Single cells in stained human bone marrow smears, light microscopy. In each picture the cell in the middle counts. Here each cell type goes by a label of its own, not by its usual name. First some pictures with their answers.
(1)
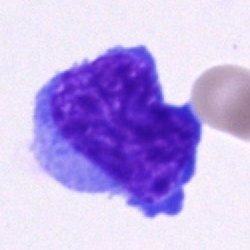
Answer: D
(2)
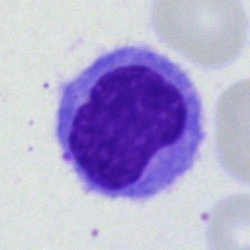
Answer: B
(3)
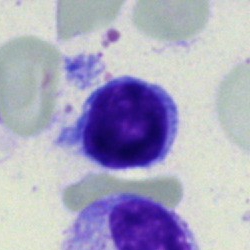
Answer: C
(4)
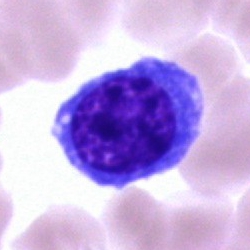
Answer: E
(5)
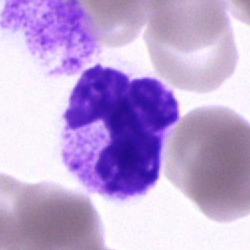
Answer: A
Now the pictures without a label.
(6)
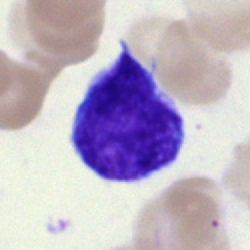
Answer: D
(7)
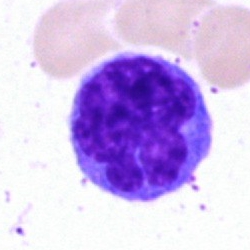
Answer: B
